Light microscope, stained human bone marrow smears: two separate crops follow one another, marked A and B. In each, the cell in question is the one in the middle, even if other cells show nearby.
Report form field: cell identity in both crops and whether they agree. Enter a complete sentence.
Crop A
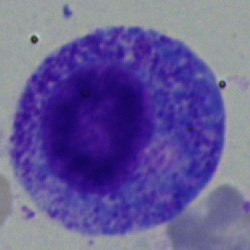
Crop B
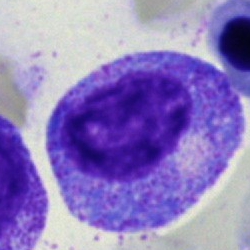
Yes, the cells found in the middle of both crops are promyelocytes.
